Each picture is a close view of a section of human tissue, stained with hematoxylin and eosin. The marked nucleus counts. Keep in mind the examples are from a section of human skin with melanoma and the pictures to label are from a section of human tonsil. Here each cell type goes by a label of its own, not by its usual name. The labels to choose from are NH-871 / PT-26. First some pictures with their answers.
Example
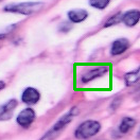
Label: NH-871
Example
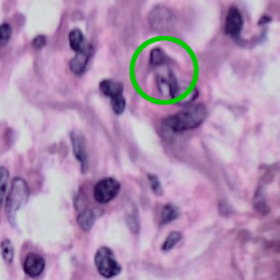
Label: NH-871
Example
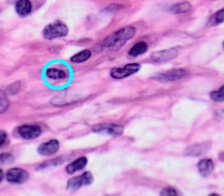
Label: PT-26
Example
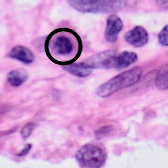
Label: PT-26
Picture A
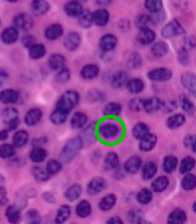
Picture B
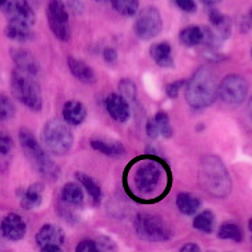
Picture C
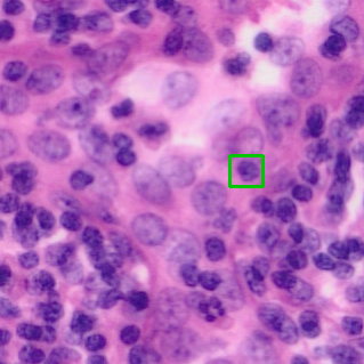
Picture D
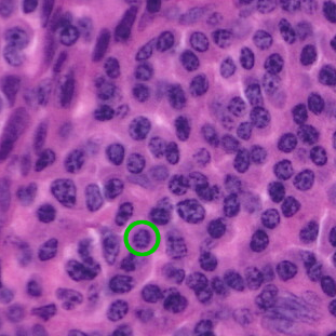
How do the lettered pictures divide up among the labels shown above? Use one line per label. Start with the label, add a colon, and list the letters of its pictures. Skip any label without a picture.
NH-871: C
PT-26: A, B, D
